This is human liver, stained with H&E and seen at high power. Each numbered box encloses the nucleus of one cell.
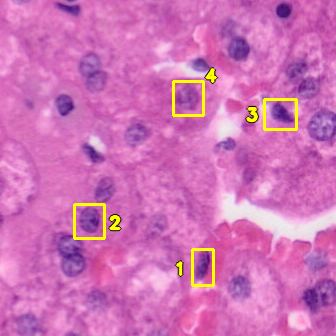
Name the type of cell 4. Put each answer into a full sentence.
The marked cell bearing number 4 is a hepatocyte.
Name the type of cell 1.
Of the numbered cells, the one labelled 1 is an endothelial cell.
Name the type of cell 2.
Here the cell numbered 2 is a hepatocyte.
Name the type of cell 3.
The cell identified by number 3 is a fibroblast or stellate cell.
